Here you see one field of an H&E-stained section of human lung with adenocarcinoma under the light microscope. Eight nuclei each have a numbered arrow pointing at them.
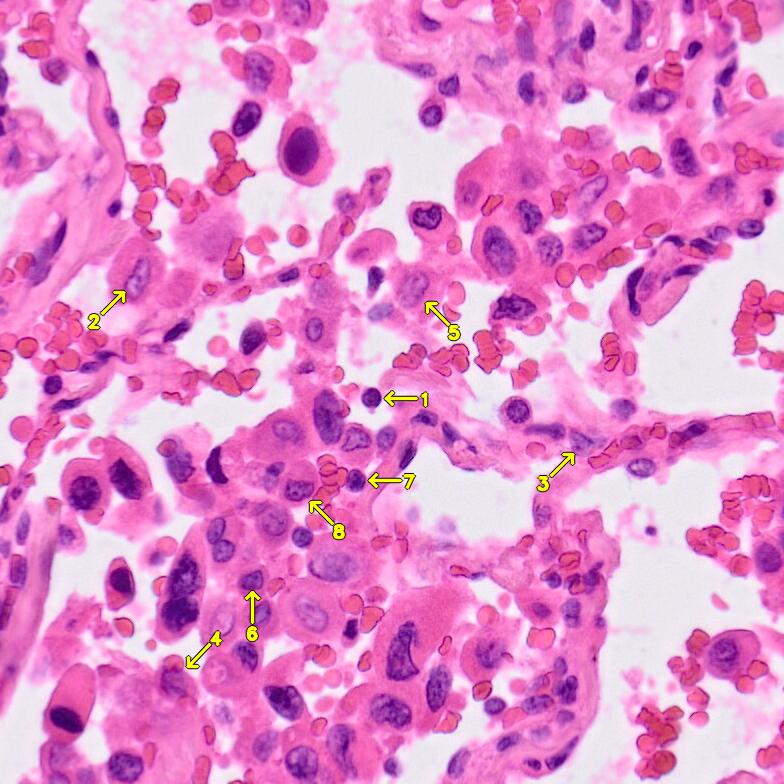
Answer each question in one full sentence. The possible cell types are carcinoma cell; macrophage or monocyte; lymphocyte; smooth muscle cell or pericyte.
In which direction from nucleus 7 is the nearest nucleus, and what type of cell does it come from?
The nearest nucleus is that of a macrophage or monocyte and lies above nucleus 7.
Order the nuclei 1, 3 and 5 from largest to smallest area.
From largest to smallest, the order is 5, 3, 1.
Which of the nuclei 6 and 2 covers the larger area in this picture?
Nucleus 2 is the larger one, covering about 2 times the area of nucleus 6.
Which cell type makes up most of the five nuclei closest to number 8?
Of the five nuclei nearest to number 8, most belong to macrophages or monocytes.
